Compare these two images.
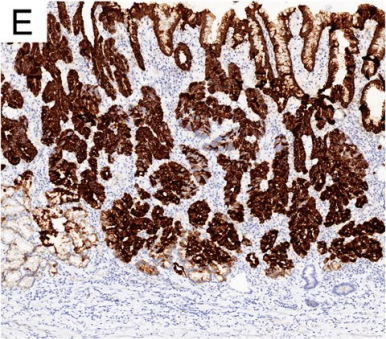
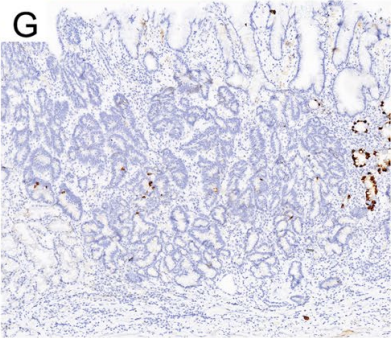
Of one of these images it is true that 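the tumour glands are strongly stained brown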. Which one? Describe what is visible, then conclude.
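Second image: the crowded glands are blue with only scattered brown dots. First image: nearly all the crowded glands are deep brown. The answer: the first image.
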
